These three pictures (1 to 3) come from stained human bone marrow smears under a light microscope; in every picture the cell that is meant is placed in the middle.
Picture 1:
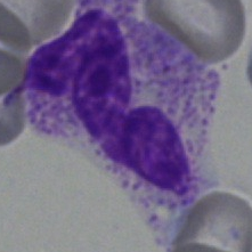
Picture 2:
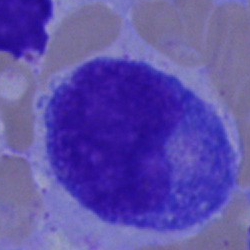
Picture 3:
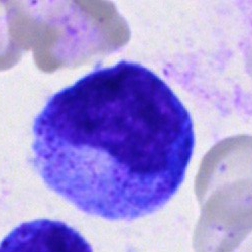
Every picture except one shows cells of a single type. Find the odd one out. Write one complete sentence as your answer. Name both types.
All pictures except 1 show promyelocytes; picture 1 shows a band neutrophil.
